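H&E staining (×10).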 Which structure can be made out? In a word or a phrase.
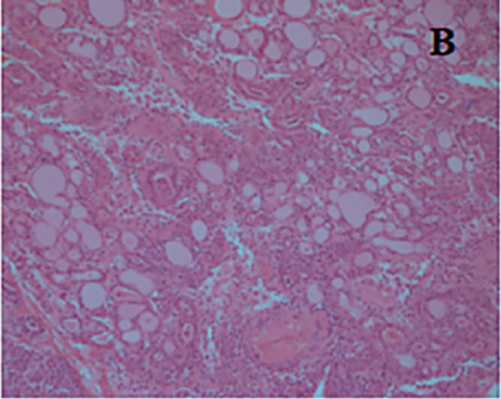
Thyroid follicles.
